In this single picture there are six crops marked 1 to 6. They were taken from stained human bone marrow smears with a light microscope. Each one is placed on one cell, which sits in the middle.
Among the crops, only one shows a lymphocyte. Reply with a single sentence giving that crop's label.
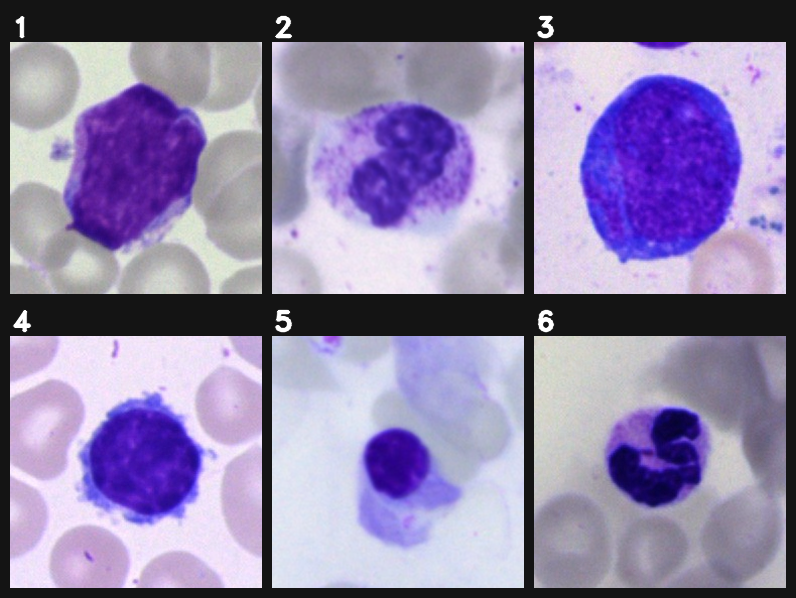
That would be crop 4; it shows a lymphocyte.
